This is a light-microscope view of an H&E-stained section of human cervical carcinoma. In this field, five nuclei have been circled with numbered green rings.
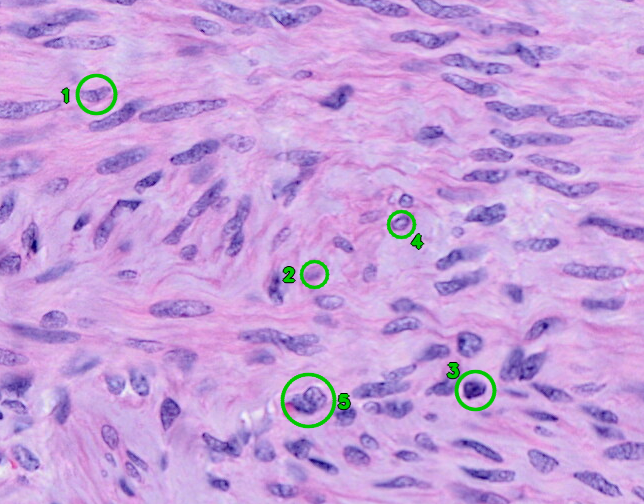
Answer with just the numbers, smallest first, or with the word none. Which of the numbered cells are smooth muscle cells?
1, 2, 4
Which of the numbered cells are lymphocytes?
3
